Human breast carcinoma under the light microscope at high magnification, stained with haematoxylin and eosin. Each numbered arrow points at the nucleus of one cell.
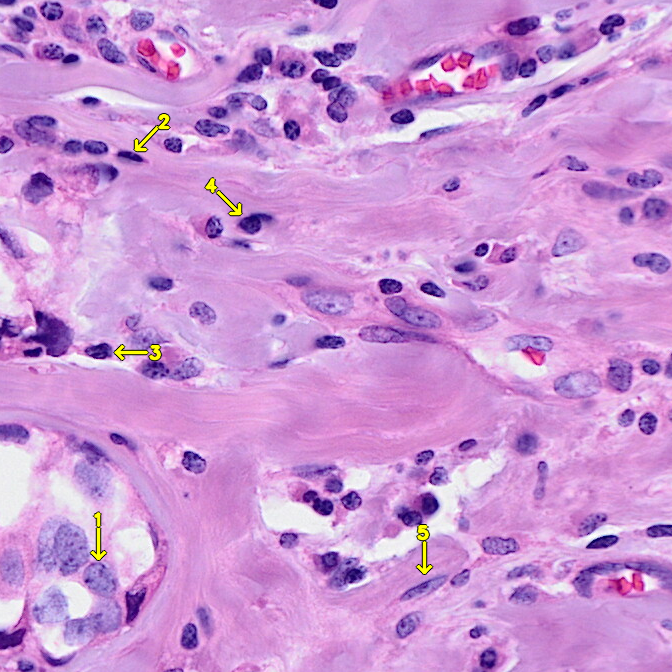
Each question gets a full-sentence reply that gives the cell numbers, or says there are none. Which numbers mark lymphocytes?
Cells 2, 3 and 4 in the section are typed as lymphocytes.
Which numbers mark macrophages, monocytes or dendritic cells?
None of the cells labelled with numbers belong to the macrophages, monocytes or dendritic cells.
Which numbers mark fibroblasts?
Of the cells carrying numbers, just cell 5 is a fibroblast.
